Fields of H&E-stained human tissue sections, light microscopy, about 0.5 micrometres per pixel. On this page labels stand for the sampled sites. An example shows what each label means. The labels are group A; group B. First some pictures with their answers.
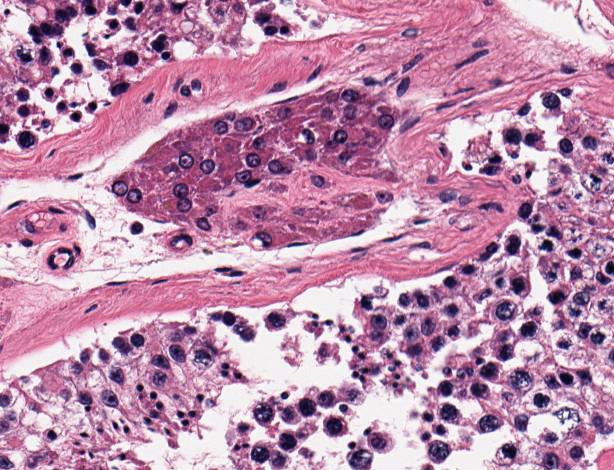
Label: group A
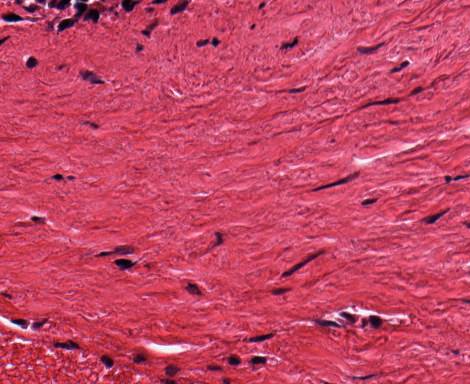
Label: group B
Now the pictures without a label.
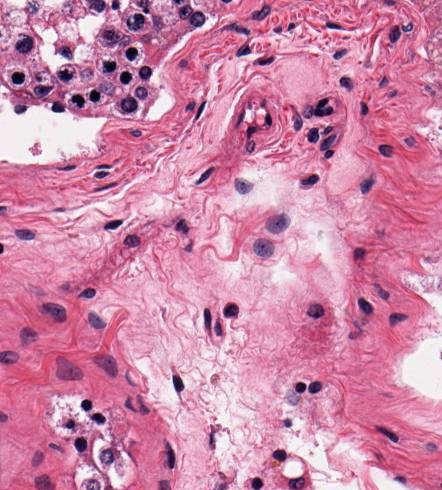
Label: group A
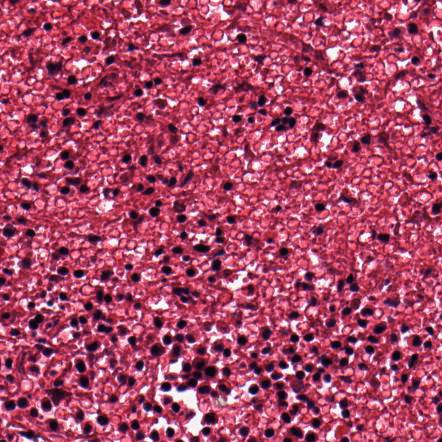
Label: group B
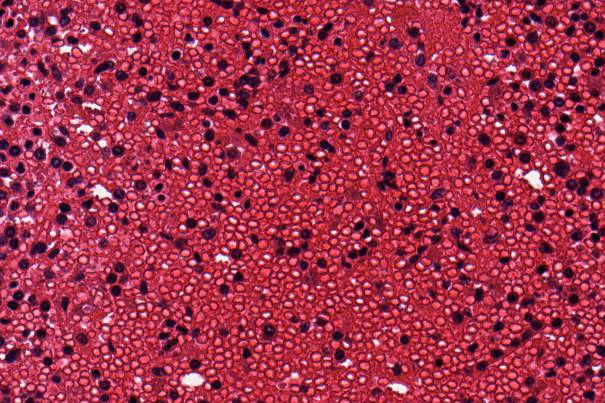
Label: group B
